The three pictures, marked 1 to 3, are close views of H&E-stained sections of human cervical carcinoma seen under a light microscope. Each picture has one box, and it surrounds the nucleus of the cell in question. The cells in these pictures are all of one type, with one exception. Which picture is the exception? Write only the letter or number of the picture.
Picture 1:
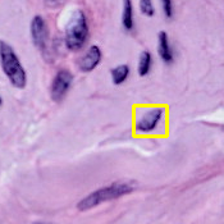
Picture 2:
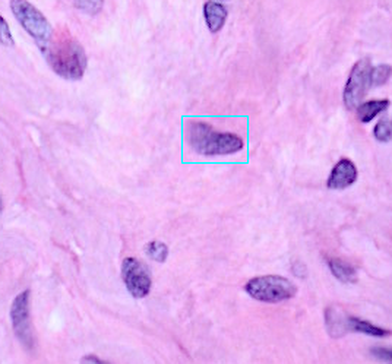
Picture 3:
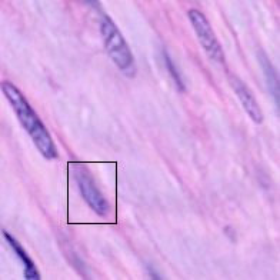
3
